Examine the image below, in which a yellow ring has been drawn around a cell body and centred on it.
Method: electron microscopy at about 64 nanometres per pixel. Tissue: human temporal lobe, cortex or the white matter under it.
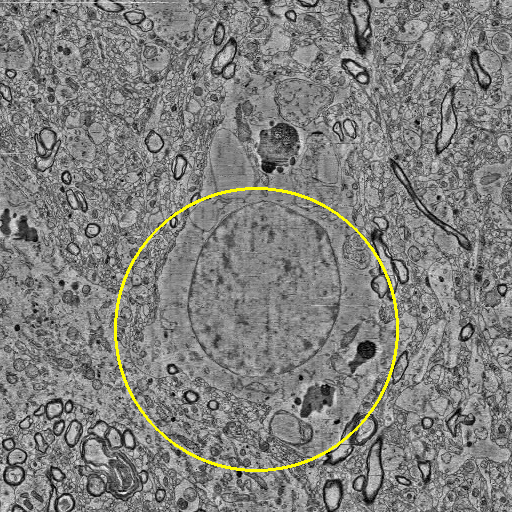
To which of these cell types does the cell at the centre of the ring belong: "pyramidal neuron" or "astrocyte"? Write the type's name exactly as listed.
astrocyte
